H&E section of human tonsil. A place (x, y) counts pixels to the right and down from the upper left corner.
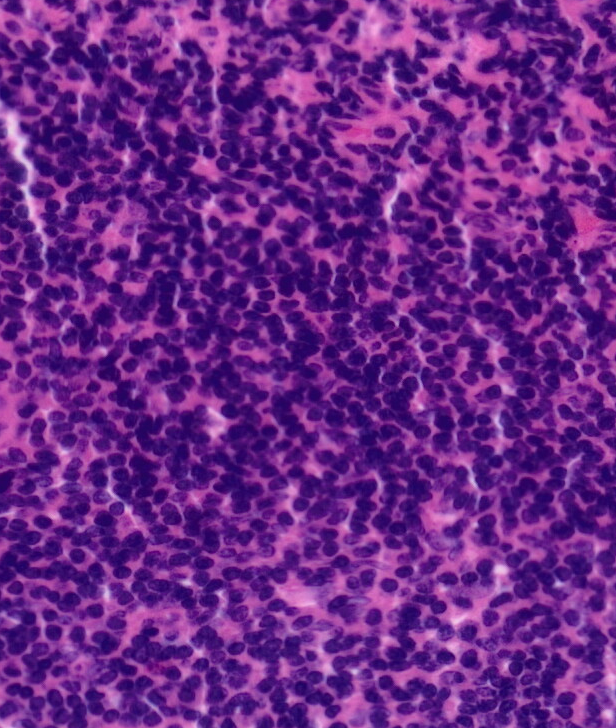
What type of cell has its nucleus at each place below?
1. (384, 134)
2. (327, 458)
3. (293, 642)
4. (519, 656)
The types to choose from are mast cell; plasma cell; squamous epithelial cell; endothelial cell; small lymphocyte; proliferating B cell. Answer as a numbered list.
1. endothelial cell
2. small lymphocyte
3. small lymphocyte
4. small lymphocyte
